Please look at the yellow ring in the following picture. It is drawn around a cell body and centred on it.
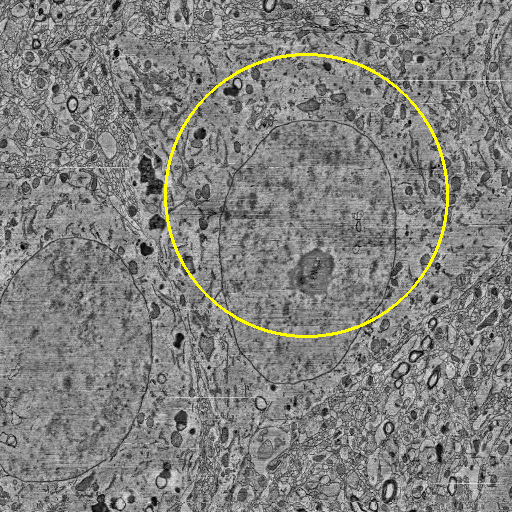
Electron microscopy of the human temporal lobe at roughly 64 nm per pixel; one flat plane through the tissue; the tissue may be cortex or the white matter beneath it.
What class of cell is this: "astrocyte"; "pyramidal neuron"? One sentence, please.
The ring surrounds the cell body of a pyramidal neuron.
